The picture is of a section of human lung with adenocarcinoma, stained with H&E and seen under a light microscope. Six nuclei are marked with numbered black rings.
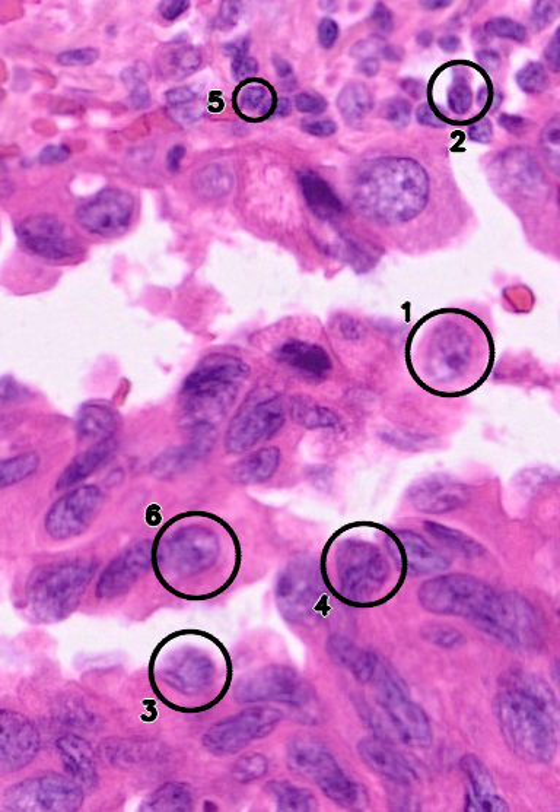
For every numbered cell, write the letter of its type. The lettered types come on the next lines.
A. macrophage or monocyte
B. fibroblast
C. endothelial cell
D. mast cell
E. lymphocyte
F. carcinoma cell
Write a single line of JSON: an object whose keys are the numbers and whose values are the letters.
{"1": "F", "2": "E", "3": "F", "4": "F", "5": "E", "6": "F"}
